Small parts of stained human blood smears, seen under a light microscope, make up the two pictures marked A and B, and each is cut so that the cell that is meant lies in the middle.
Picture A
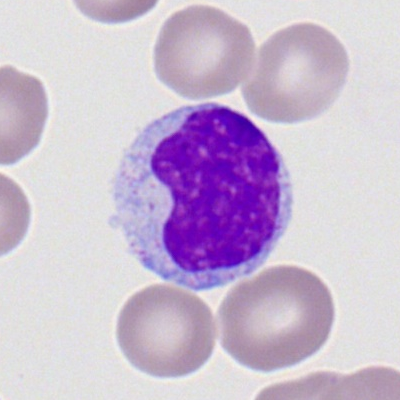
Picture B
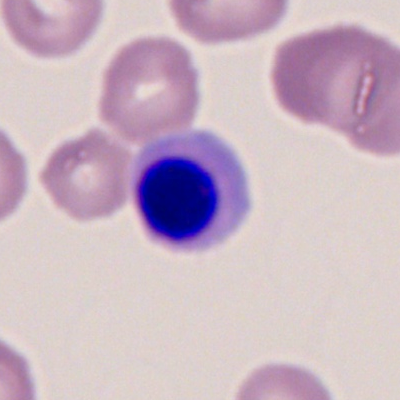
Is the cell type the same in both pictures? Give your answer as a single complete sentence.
No. Picture A shows a lymphocyte, but picture B shows an erythroblast.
